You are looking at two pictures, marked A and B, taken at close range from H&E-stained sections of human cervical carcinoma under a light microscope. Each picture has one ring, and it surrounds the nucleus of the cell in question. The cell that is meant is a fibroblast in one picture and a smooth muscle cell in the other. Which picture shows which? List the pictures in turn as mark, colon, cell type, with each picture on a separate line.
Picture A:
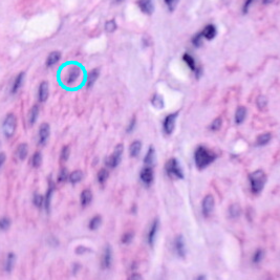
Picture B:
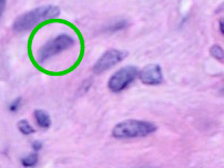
A: smooth muscle cell
B: fibroblast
